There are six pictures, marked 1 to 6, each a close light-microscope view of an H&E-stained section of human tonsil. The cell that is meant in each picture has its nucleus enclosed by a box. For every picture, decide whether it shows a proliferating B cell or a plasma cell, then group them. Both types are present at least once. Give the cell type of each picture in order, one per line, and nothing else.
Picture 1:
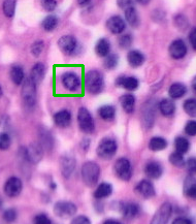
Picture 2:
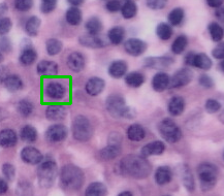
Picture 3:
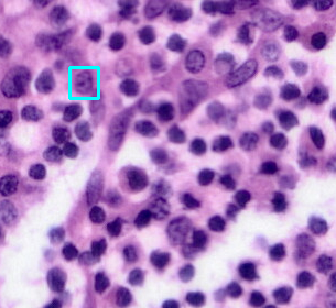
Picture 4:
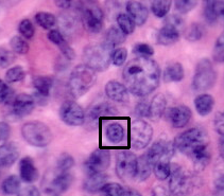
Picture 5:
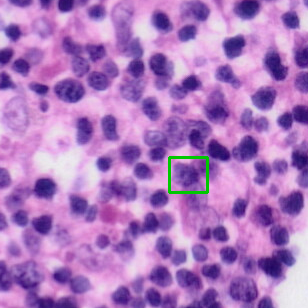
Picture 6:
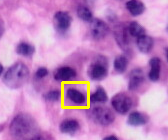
plasma cell
plasma cell
plasma cell
proliferating B cell
proliferating B cell
plasma cell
